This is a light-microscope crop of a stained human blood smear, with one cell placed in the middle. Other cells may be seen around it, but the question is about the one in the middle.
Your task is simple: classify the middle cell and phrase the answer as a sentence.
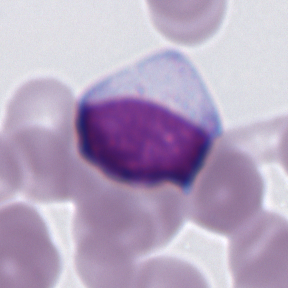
Present in the middle of the crop is a large granular lymphocyte.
